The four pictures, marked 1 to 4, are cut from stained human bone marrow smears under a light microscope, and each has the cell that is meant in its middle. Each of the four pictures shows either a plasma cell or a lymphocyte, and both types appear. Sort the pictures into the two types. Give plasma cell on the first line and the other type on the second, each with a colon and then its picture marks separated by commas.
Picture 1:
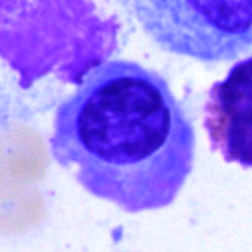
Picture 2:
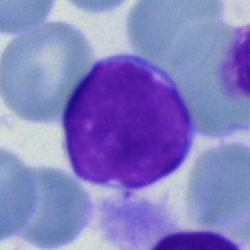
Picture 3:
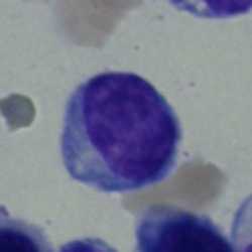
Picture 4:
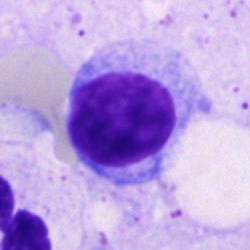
plasma cell: 1
lymphocyte: 2, 3, 4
